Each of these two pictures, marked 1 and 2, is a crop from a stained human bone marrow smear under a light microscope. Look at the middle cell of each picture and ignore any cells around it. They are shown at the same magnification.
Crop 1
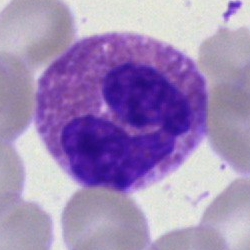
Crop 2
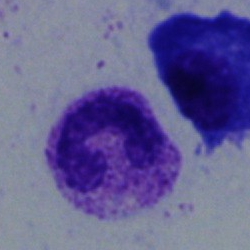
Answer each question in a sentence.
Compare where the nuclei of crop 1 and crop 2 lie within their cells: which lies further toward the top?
The nucleus in crop 2 lies further toward the top of its cell.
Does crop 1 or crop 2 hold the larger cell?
Larger is the cell in crop 1, at roughly 1.5 times the area of the other.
